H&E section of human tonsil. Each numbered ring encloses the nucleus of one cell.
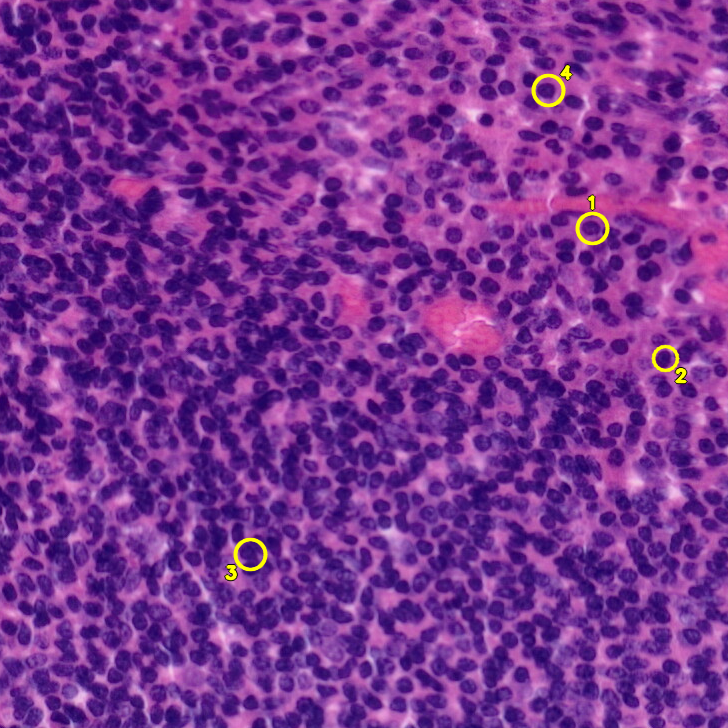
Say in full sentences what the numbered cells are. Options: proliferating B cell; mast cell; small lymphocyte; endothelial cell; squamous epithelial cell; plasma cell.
Cell 1 is a plasma cell, cell 2 is a plasma cell, cell 3 is a small lymphocyte and cell 4 is a plasma cell.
